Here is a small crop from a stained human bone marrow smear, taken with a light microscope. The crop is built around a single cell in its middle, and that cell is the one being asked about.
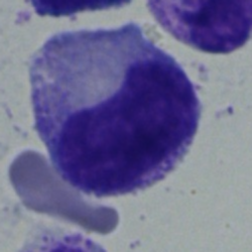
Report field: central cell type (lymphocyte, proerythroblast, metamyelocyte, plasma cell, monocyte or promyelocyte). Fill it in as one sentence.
The cell marked by its central position in the crop is a metamyelocyte.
